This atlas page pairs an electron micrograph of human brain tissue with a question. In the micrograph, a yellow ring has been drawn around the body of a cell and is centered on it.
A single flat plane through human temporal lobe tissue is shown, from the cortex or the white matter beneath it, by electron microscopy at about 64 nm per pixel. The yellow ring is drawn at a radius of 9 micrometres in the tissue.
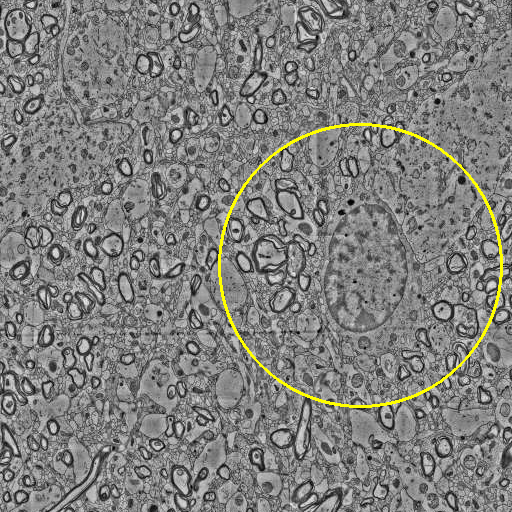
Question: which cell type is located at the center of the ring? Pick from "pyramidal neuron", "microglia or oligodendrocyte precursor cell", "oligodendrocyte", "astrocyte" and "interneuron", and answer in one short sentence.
Located at the center of the ring is an oligodendrocyte.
